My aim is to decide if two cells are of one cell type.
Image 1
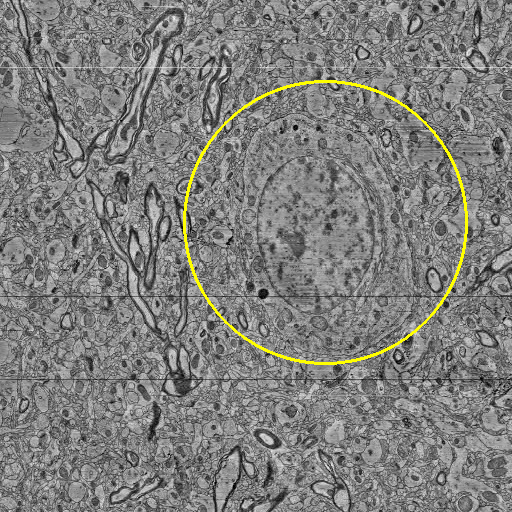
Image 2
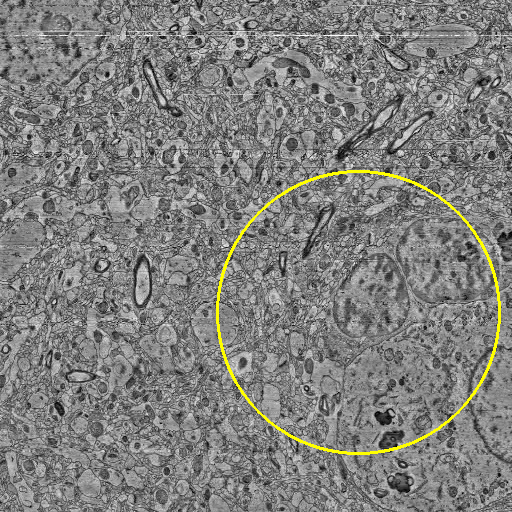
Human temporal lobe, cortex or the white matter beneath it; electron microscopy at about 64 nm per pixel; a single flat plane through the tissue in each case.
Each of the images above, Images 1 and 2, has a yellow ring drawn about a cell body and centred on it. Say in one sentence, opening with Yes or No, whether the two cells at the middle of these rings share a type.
No, in Images 1 and 2 the cells at the middle of the rings fall into two types.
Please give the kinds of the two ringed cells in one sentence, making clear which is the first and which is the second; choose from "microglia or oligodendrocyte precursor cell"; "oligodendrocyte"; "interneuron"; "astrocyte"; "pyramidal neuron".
In the second picture the ringed cell is an oligodendrocyte; in the first it is an interneuron.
